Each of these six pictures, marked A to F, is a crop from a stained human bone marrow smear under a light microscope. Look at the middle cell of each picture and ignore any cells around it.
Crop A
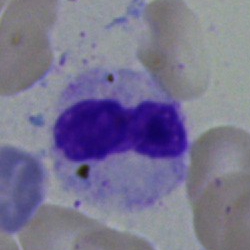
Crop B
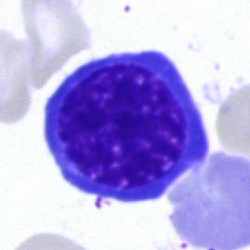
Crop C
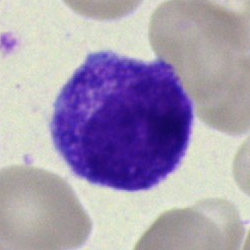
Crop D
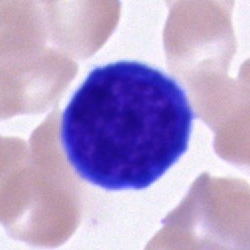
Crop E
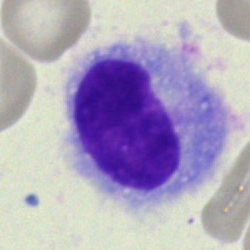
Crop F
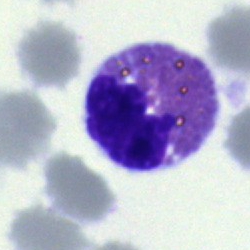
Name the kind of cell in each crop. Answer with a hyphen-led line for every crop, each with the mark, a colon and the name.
- A: band neutrophil
- B: normoblast
- C: myelocyte
- D: normoblast
- E: hairy cell
- F: eosinophil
